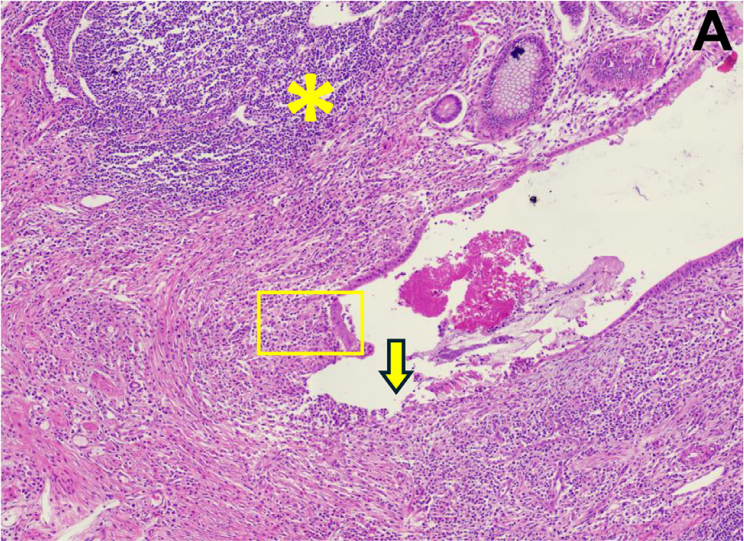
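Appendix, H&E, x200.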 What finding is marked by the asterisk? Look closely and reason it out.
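Enlargement of the lymphoid follicle. A large, dense sheet of small, dark round nuclei lies at the asterisk. This sheet occupies much of the upper left of the panel, next to the glands.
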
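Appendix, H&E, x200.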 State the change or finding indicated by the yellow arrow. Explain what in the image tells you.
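The arrow points at a gap in the tissue surface that has no lining epithelium. Inflamed stroma borders the gap directly. Loose debris and red blood cells lie in the gap.
Answer: mucosal erosion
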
